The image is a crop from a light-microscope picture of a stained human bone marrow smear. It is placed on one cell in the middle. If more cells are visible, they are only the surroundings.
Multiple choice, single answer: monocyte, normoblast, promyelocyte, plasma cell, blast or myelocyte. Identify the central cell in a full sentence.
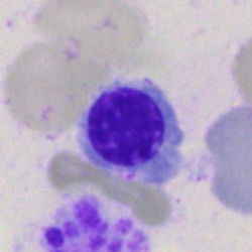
The cell occupying the middle of the crop is a normoblast.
